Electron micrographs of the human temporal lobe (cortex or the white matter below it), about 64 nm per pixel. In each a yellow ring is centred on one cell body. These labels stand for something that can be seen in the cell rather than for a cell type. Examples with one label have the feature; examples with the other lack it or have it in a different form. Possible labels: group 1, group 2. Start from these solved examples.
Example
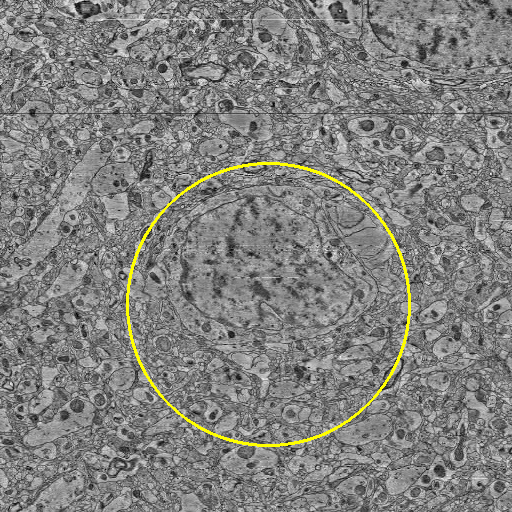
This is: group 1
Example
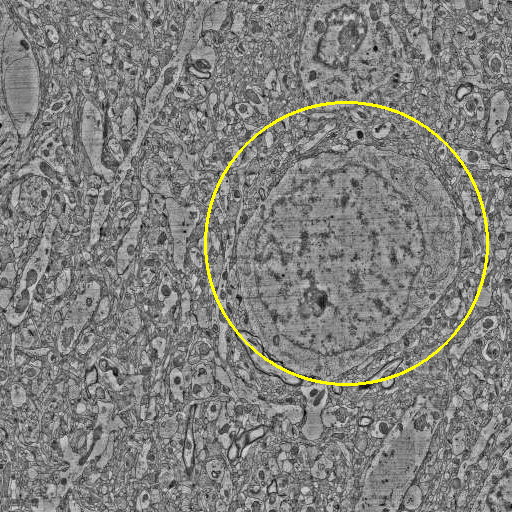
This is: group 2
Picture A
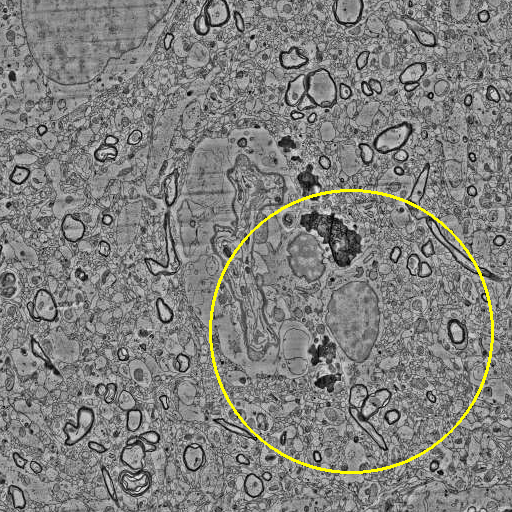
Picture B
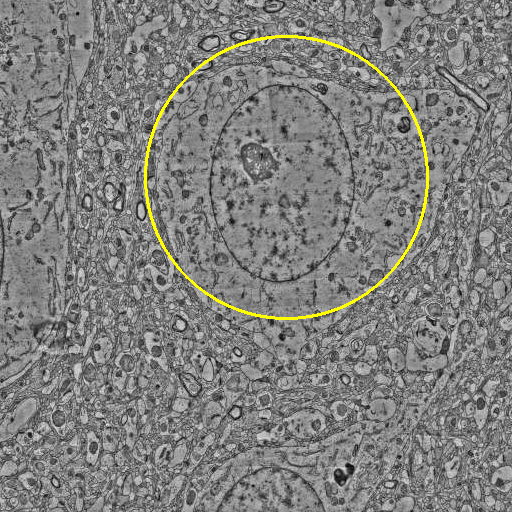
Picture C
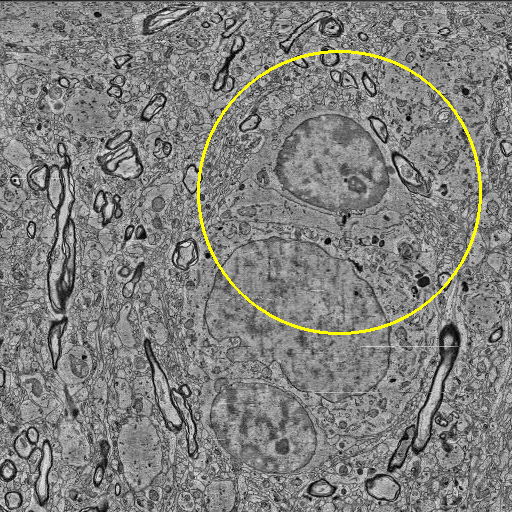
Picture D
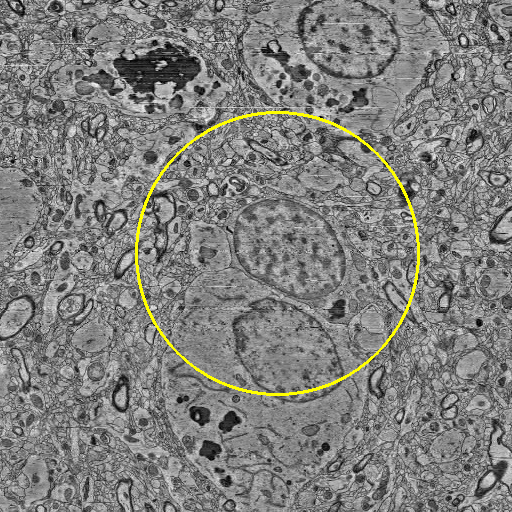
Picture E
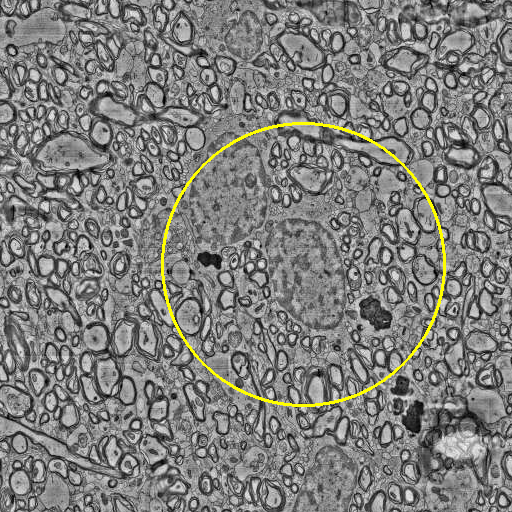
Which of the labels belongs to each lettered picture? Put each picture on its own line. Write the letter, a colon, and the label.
A: group 1
B: group 2
C: group 2
D: group 1
E: group 1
